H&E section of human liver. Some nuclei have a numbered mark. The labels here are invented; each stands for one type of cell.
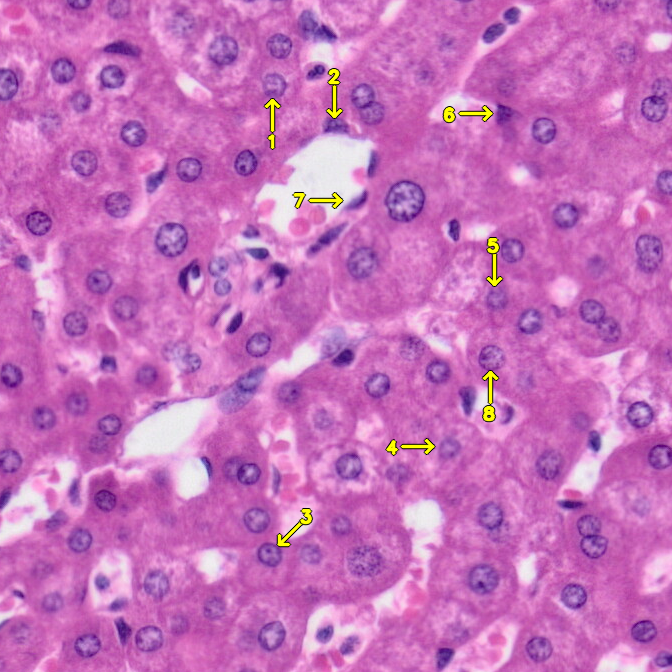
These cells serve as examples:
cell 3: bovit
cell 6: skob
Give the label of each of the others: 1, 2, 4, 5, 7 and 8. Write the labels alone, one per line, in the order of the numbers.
bovit
skob
bovit
bovit
skob
bovit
